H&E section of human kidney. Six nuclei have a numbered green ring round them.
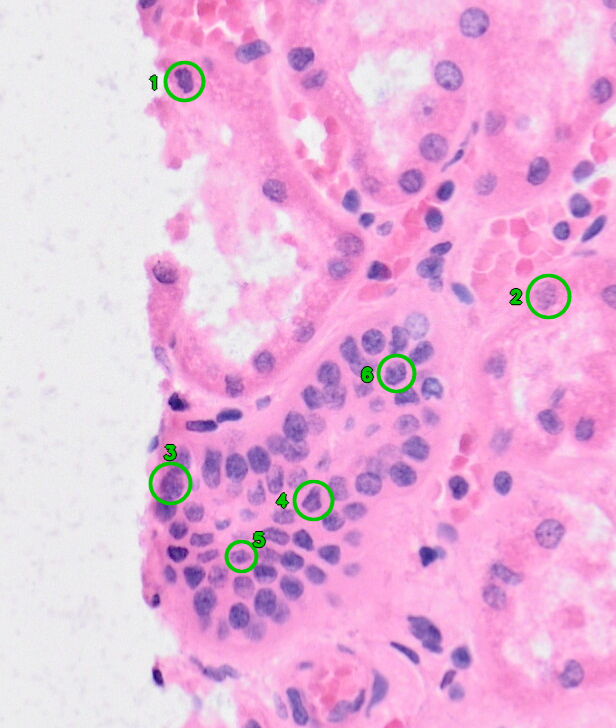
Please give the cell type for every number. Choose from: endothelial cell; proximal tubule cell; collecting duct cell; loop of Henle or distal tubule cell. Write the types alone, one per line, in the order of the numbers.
proximal tubule cell
proximal tubule cell
collecting duct cell
collecting duct cell
collecting duct cell
collecting duct cell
